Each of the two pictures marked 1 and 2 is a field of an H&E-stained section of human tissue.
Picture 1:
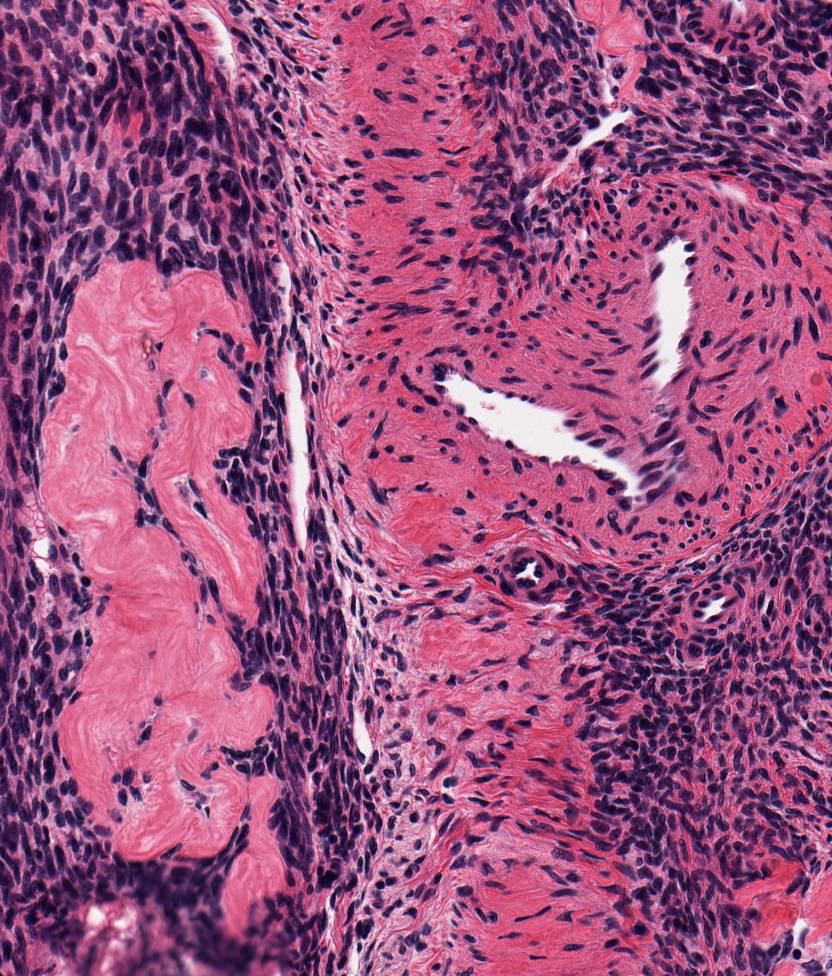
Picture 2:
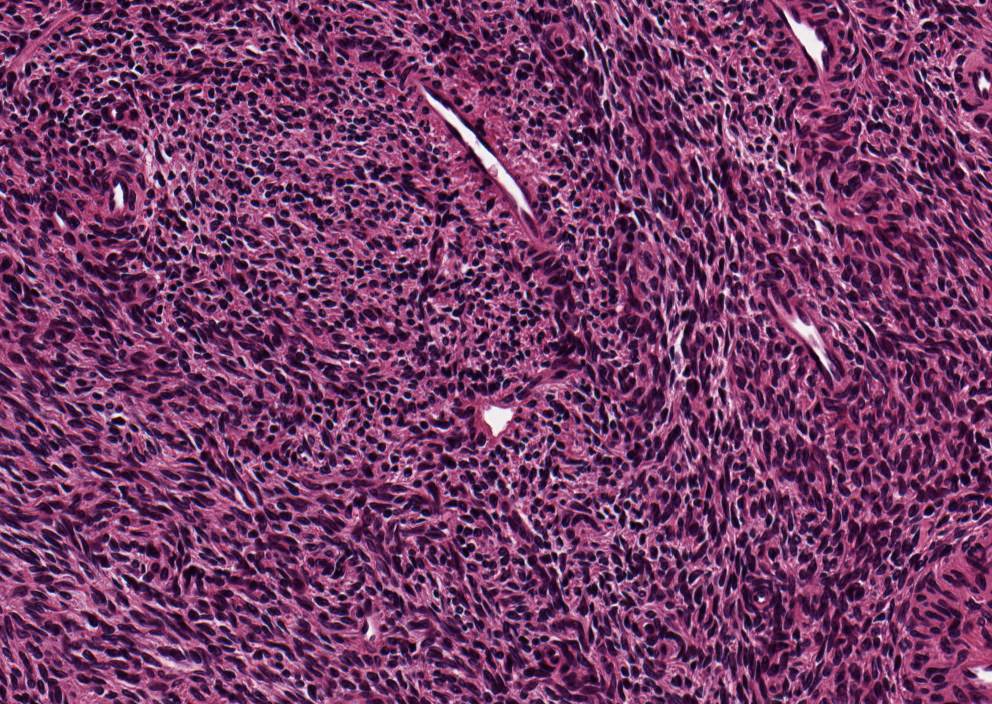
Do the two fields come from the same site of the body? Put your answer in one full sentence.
Yes; both pictures come from the ovary.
